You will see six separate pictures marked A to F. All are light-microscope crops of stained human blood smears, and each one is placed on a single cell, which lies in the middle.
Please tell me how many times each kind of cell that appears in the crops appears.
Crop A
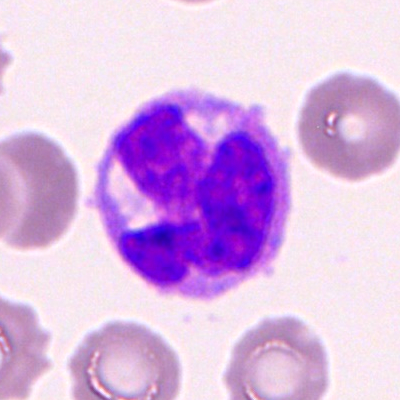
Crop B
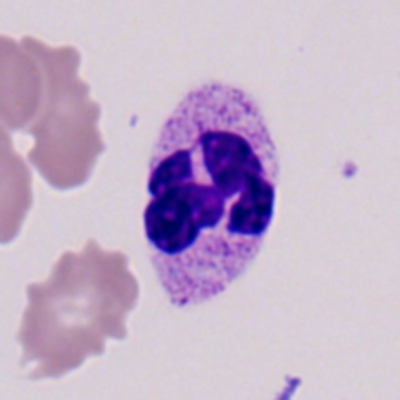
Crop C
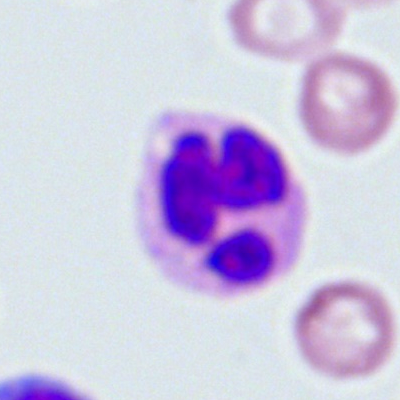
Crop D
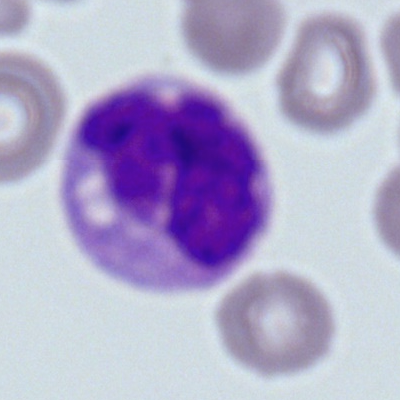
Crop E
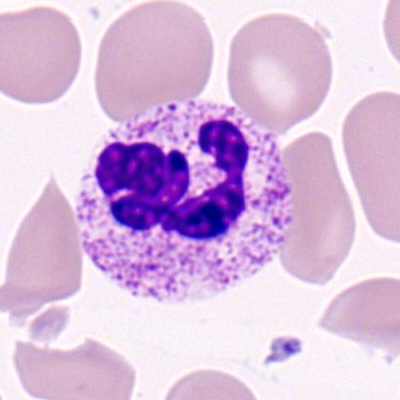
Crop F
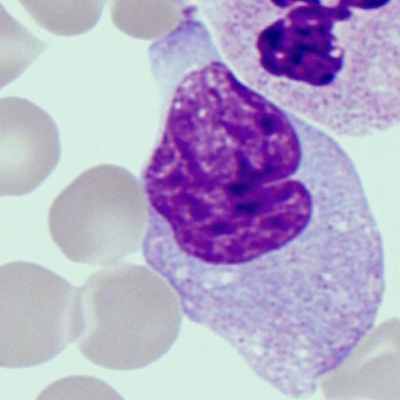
monocyte: 3
neutrophil: 3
